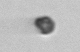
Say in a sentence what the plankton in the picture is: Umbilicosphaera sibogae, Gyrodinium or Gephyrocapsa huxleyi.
This is Gephyrocapsa huxleyi.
